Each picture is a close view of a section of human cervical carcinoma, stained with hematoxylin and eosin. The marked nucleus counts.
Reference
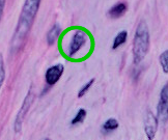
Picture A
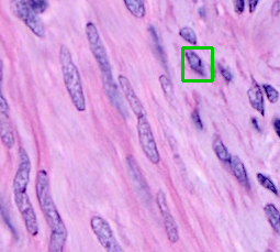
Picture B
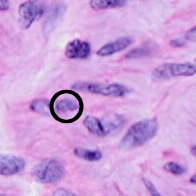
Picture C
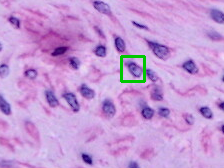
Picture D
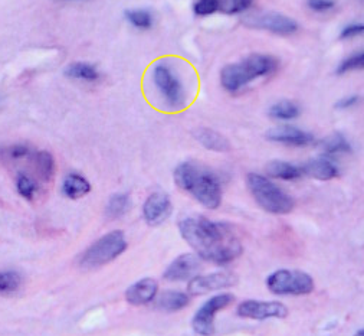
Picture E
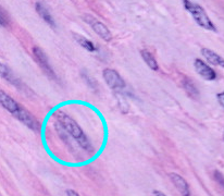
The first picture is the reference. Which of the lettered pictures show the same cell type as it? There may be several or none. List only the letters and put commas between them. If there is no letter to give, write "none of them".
D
